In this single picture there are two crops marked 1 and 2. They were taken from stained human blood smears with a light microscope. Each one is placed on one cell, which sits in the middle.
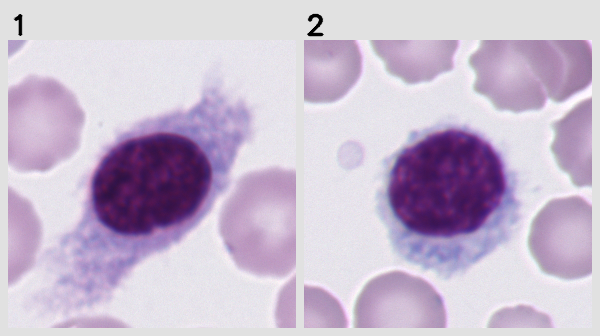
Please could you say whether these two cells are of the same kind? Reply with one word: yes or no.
yes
